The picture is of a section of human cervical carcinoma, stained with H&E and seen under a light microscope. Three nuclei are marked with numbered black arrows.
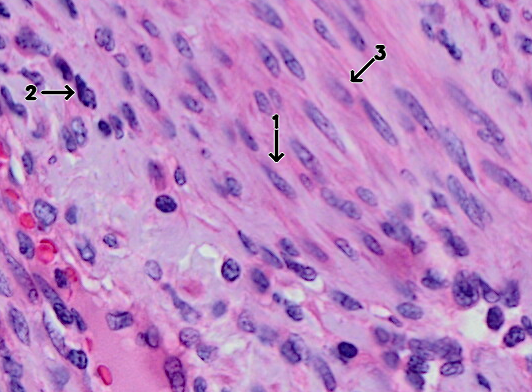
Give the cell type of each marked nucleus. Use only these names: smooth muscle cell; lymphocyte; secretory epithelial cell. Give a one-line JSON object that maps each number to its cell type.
{"1": "smooth muscle cell", "2": "lymphocyte", "3": "smooth muscle cell"}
